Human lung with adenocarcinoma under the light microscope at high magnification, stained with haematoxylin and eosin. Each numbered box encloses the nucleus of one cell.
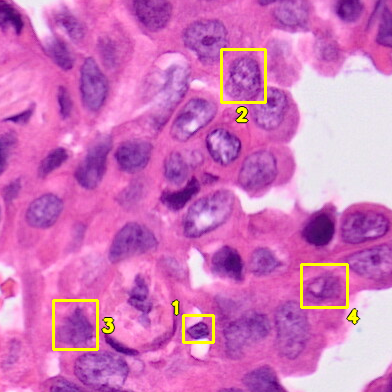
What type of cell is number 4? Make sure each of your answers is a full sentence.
The correct answer for cell 4 is a carcinoma cell.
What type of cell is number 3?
That cell with number 3 is a carcinoma cell.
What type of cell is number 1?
Heads up, the cell numbered 1 is a lymphocyte.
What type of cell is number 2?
The one numbered 2 among the marked cells is a carcinoma cell.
